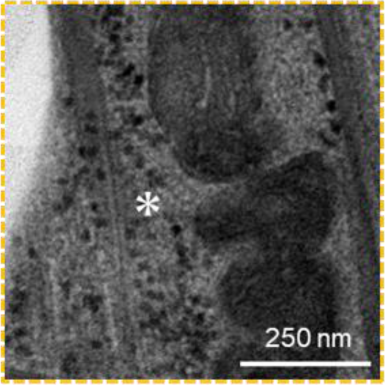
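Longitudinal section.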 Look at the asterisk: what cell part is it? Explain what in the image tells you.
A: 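Small dark specks are scattered in the cytoplasm around the asterisk. The specks lie beside dark rounded mitochondria. The answer: electron-dense granules.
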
